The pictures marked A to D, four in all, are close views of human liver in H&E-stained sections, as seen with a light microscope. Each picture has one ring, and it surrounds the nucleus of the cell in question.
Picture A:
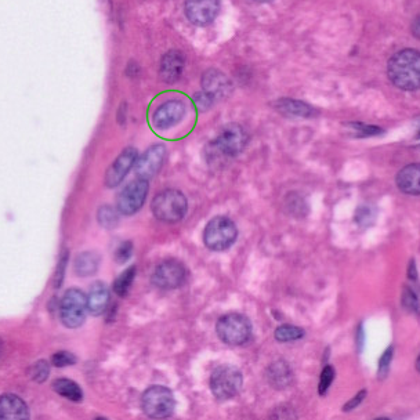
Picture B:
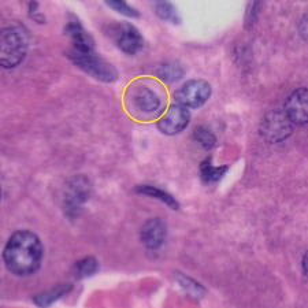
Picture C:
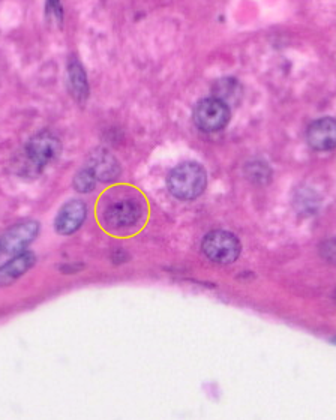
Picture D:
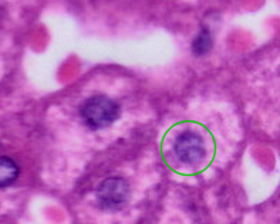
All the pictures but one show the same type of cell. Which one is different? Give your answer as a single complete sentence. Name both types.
The others show cholangiocytes, but picture D shows a hepatocyte.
